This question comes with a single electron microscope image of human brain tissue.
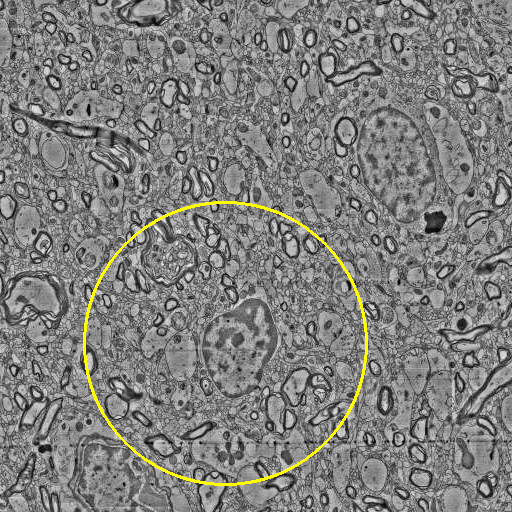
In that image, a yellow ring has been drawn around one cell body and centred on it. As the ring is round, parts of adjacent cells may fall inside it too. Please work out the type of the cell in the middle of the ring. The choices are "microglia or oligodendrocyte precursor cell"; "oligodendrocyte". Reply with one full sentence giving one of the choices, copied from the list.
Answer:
Of the choices, a microglial cell or oligodendrocyte precursor cell is the cell sitting in the middle of the ring.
